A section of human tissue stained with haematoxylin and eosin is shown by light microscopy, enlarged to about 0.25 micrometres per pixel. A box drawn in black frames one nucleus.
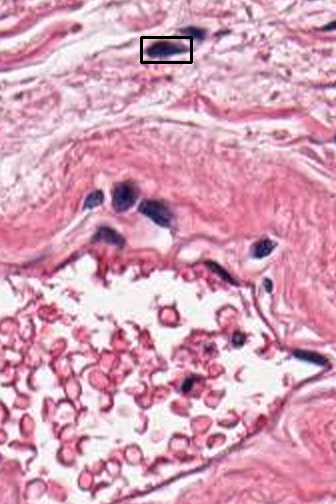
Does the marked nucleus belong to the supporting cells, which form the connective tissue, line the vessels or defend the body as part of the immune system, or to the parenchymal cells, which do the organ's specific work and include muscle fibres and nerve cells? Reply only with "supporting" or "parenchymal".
supporting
